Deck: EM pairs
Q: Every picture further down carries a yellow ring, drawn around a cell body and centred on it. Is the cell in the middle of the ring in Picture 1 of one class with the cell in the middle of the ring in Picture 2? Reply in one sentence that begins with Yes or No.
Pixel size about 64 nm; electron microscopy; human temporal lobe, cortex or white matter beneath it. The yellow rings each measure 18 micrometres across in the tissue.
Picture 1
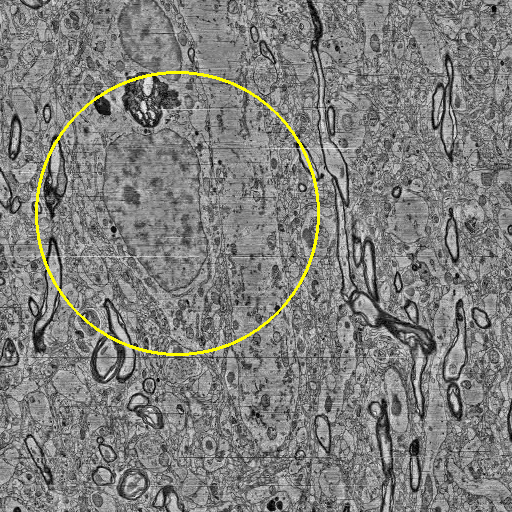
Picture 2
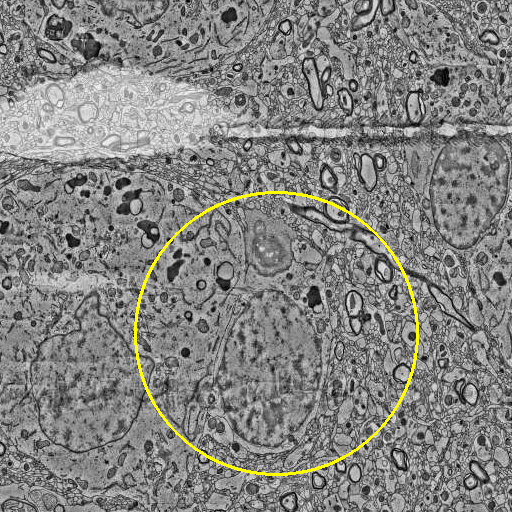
Yes, the cell centred in the ring of Picture 1 and the one in Picture 2 belong to one class.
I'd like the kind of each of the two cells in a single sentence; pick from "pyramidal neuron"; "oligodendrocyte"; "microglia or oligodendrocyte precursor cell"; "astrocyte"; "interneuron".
In each picture the ringed cell is an interneuron.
